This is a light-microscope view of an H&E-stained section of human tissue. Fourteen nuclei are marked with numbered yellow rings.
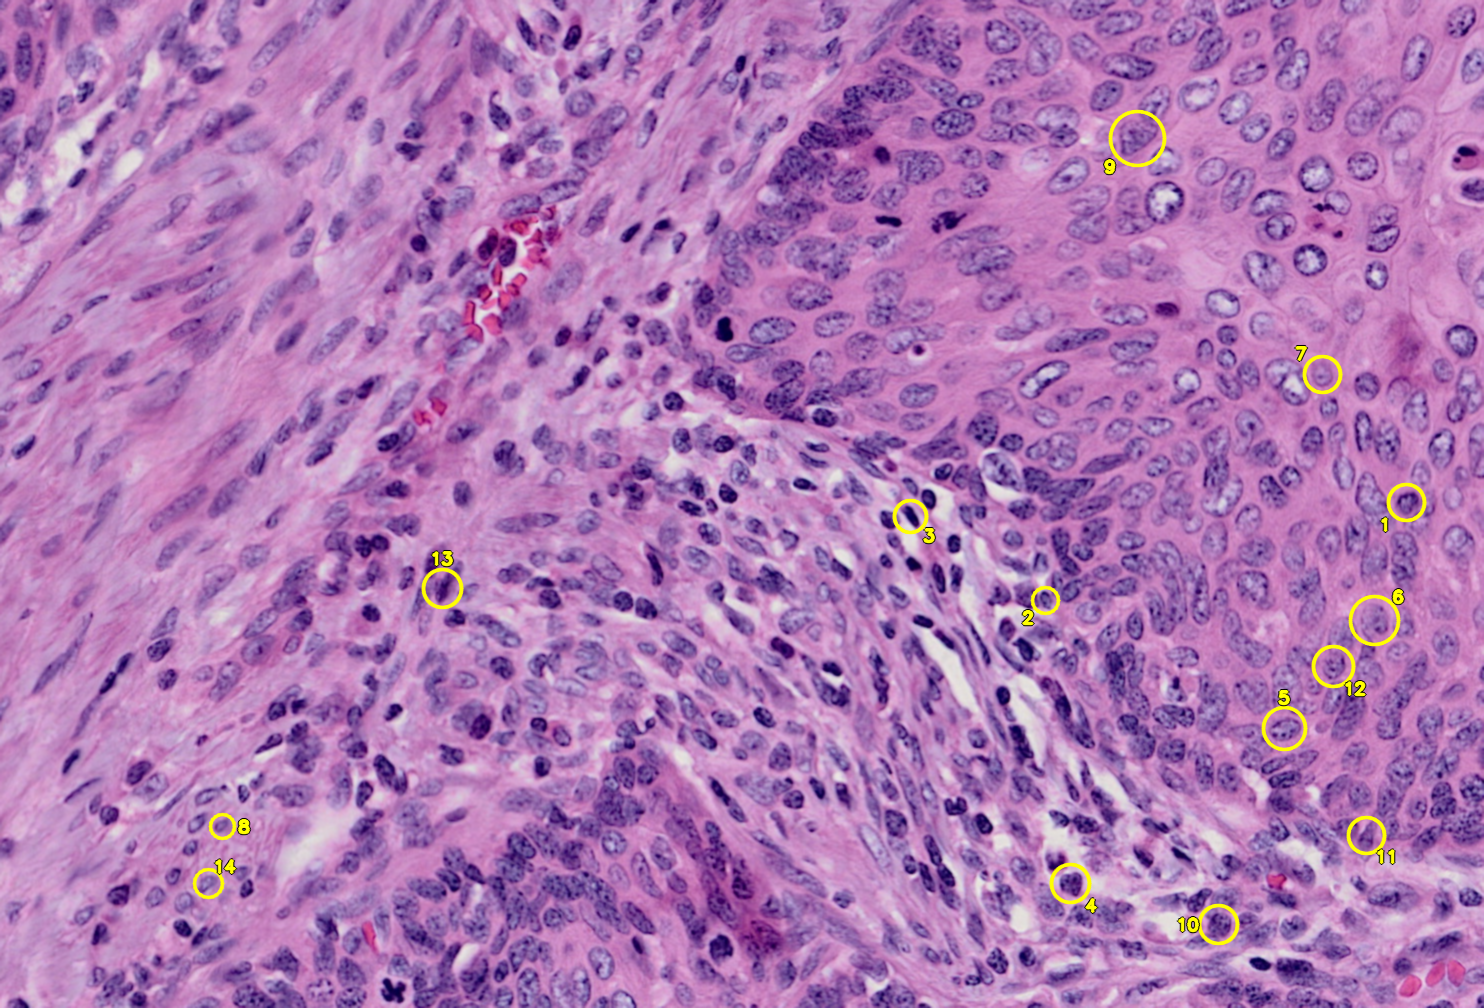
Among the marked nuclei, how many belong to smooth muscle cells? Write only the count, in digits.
2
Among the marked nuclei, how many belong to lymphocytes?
5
